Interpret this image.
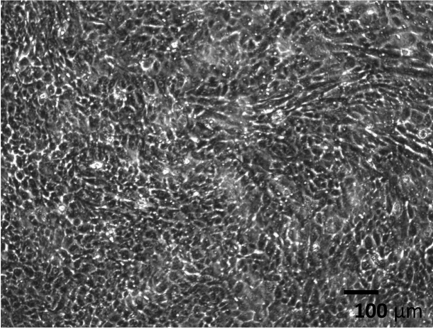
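Here too a phase contrast view shows a confluent sheet of cultured cells covering the whole field. Most of the cells are small and polygonal. Their bright phase halos outline a close cobblestone pattern, and each cell has a darker centre. Toward the upper right the picture changes: the cells there are drawn out into long, spindle-shaped forms. These lie side by side in parallel streams rather than as compact polygons. Scattered soft, pale patches overlie parts of the sheet. No open spaces are left between cells anywhere, so the layer is continuous from edge to edge.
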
